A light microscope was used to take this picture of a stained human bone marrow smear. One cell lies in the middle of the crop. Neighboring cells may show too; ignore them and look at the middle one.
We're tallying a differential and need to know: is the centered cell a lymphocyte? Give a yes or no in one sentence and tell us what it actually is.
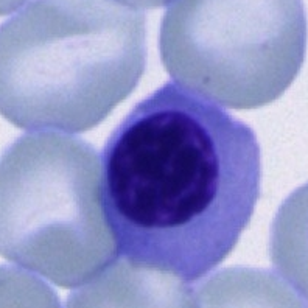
No, the cell in the middle of the crop counts as an erythroblast and not as a lymphocyte.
